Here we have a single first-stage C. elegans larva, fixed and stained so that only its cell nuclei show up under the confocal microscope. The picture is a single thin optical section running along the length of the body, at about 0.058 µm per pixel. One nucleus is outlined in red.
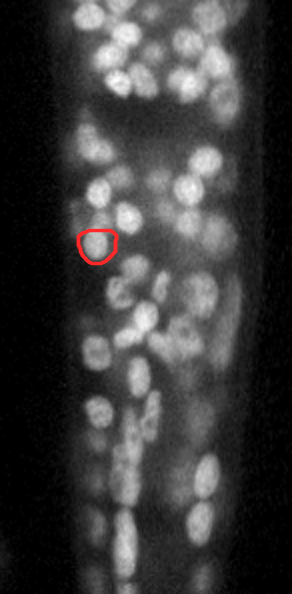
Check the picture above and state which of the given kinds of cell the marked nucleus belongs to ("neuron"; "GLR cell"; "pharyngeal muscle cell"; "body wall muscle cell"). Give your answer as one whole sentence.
It is the nucleus of a neuron.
